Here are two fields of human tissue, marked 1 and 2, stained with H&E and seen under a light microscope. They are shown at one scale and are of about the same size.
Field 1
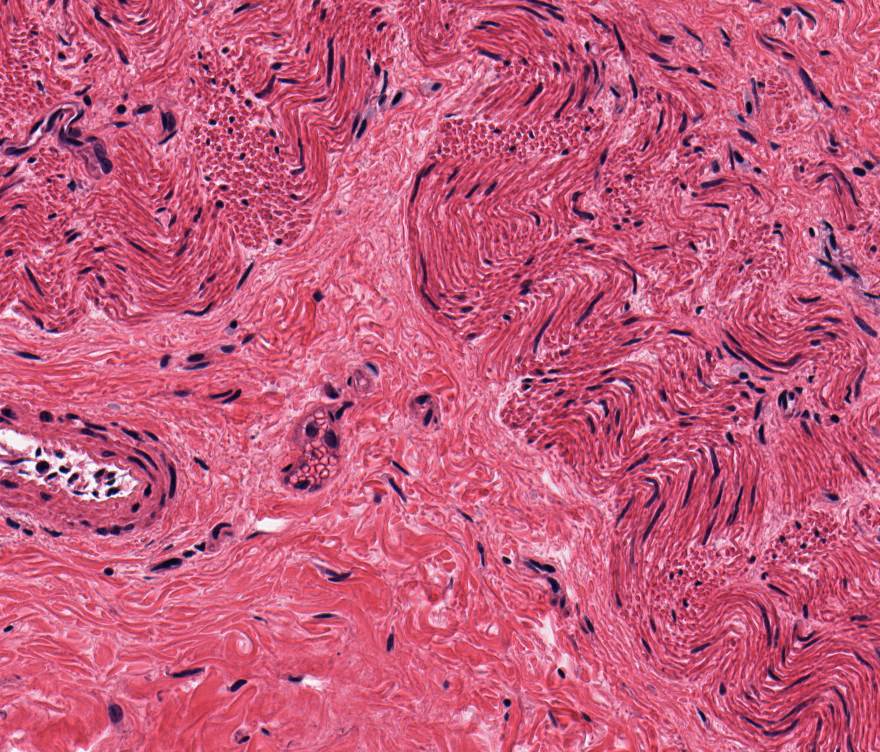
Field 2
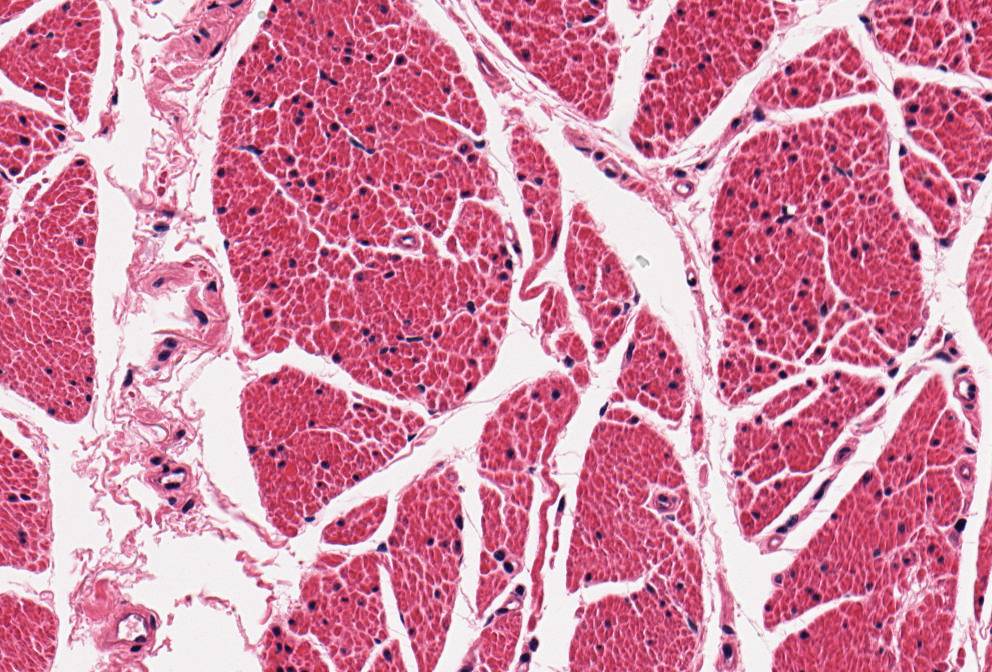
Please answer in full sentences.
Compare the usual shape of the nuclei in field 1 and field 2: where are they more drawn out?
It is field 1 whose nuclei are the more elongated.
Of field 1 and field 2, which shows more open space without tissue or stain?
Field 2 has more white space.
